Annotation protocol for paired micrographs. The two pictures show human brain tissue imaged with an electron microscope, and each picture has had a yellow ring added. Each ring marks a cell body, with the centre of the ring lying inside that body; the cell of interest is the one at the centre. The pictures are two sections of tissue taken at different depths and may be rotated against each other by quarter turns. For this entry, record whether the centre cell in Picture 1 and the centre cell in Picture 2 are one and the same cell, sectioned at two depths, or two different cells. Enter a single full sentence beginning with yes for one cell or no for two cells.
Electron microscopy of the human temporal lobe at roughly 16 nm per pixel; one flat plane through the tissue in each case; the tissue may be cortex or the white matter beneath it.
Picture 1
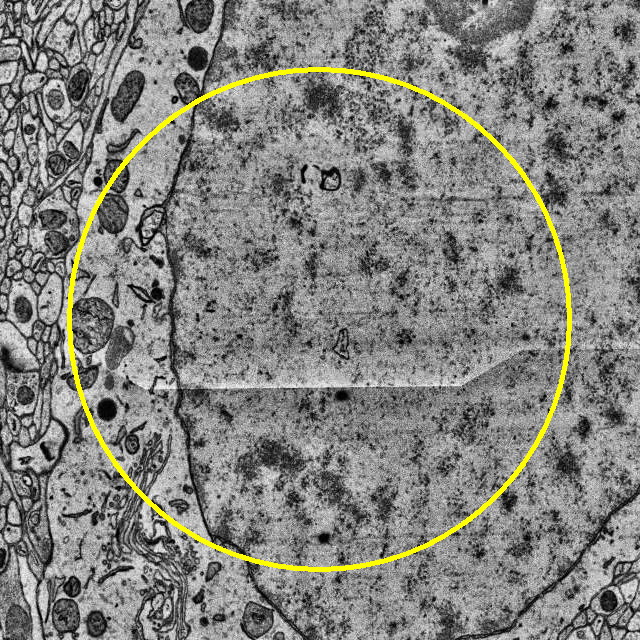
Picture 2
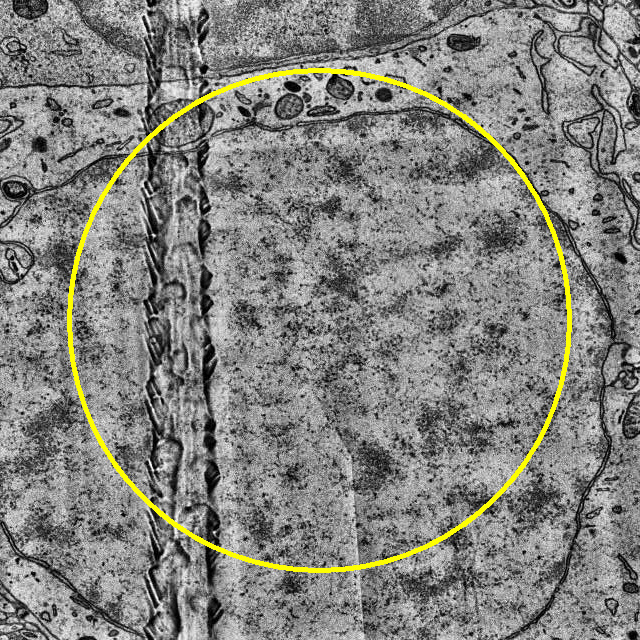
No, the first ring and the second ring mark different cells.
